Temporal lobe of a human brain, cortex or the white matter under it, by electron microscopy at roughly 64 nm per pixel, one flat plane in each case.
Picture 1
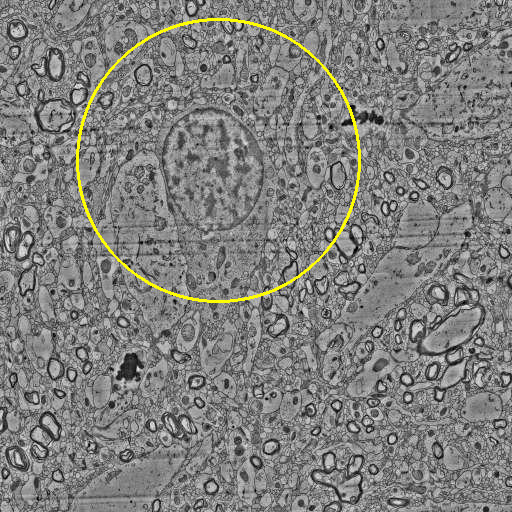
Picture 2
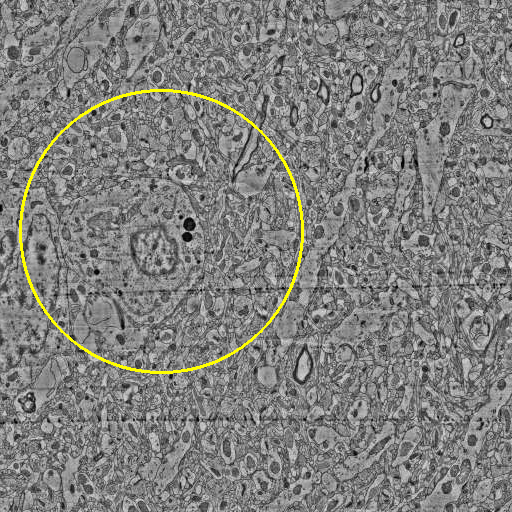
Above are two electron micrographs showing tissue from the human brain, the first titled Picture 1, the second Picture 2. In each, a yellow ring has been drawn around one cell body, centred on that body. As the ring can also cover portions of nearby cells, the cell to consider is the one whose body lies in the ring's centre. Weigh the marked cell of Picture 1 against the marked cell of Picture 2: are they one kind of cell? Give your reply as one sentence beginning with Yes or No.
No, the two cells sitting at the ring centres in the pictures are of two kinds.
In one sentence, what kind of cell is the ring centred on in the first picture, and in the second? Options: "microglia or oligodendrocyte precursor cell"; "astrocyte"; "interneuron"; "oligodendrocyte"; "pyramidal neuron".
The cell at the centre of the second ring is a pyramidal neuron; the first ring's cell is an oligodendrocyte.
